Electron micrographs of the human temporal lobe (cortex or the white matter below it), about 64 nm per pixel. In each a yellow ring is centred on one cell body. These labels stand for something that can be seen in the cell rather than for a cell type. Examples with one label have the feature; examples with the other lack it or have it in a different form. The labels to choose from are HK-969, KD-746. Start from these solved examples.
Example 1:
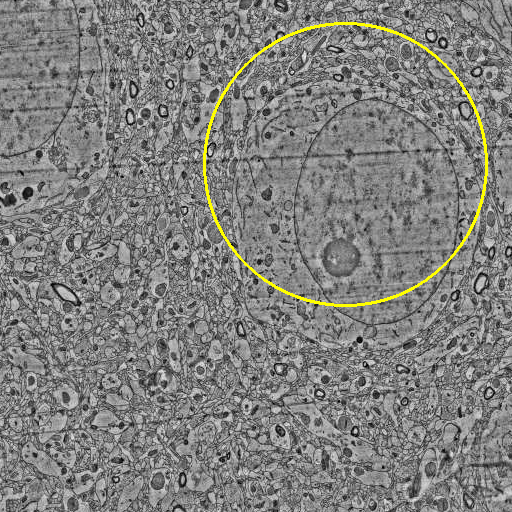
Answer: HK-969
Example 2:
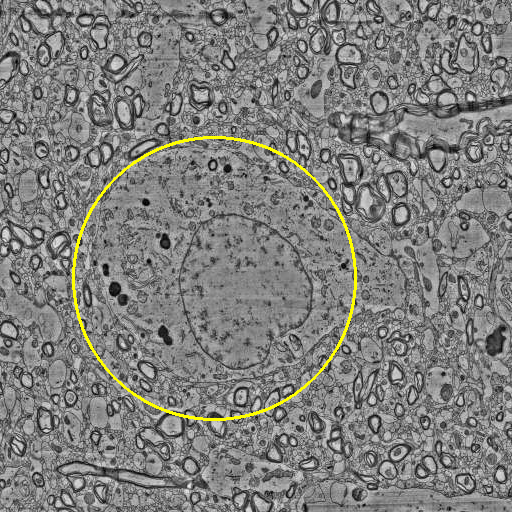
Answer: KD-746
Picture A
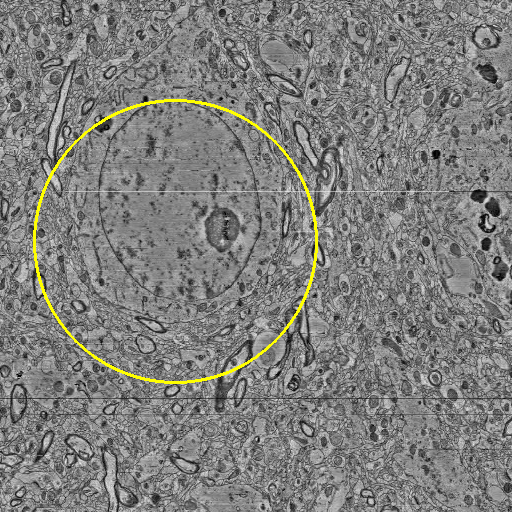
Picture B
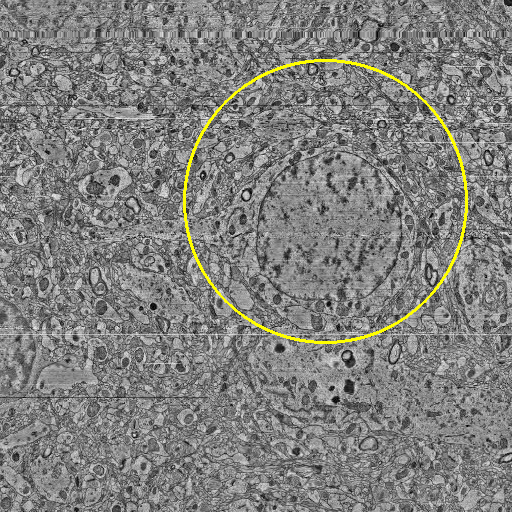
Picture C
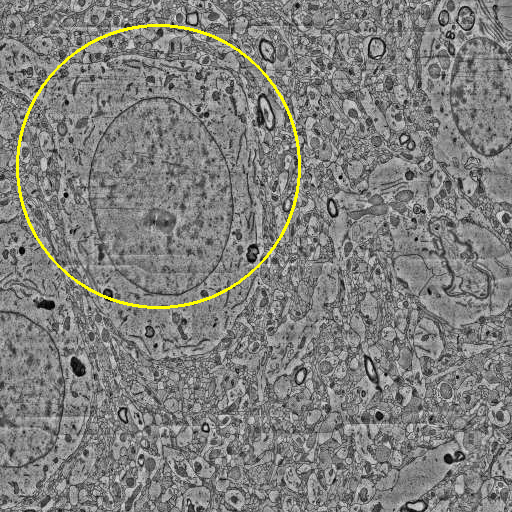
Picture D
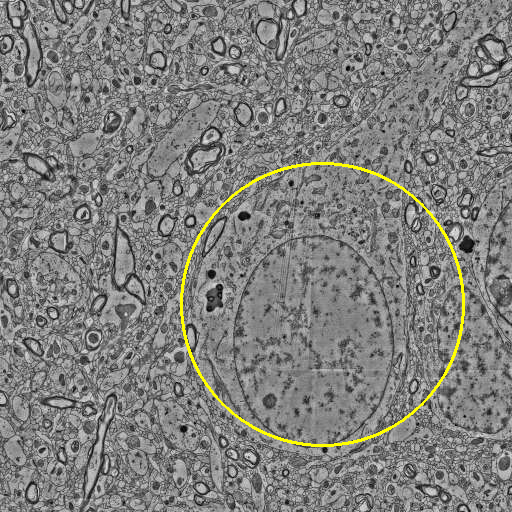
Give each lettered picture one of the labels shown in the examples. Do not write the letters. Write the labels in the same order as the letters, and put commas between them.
HK-969, KD-746, HK-969, HK-969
